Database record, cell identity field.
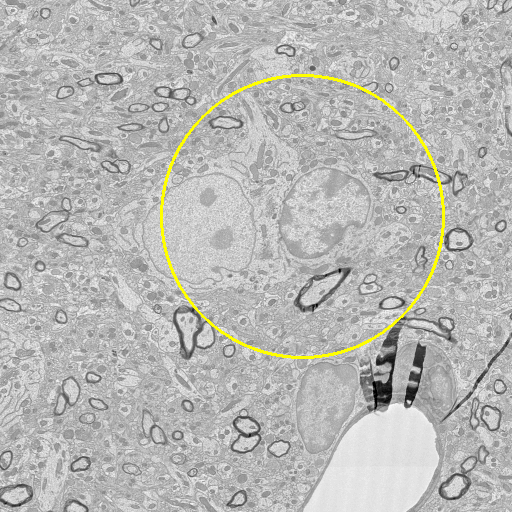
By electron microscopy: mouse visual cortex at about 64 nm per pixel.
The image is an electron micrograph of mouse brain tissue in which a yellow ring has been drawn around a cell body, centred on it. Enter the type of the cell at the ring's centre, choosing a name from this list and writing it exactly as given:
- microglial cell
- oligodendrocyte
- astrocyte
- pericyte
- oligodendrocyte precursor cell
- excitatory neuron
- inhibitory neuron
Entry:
oligodendrocyte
